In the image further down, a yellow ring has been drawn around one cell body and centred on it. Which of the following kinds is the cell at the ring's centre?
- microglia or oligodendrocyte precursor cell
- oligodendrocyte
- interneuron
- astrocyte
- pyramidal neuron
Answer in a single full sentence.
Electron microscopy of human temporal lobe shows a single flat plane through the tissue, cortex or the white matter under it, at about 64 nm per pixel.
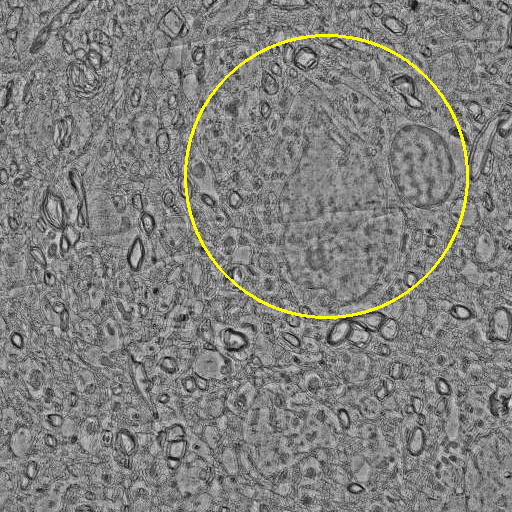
In the picture, the cell sitting at the centre of the yellow ring is an interneuron.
